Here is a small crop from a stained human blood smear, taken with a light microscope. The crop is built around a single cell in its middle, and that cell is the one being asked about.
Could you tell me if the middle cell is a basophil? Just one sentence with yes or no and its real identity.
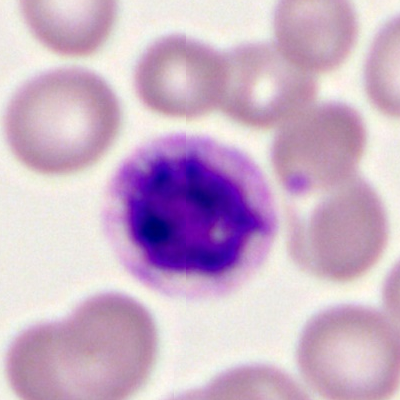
Yes, the cell right in the middle is a basophil.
